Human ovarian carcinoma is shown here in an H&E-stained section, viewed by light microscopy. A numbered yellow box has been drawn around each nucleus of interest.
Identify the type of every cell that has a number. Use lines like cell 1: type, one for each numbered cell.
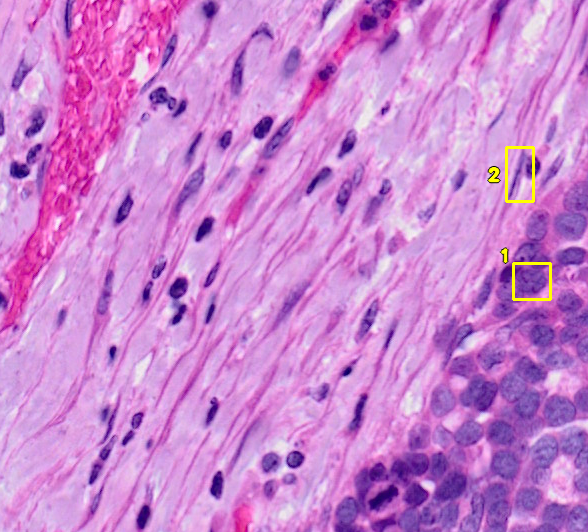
cell 1: carcinoma cell
cell 2: fibroblast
